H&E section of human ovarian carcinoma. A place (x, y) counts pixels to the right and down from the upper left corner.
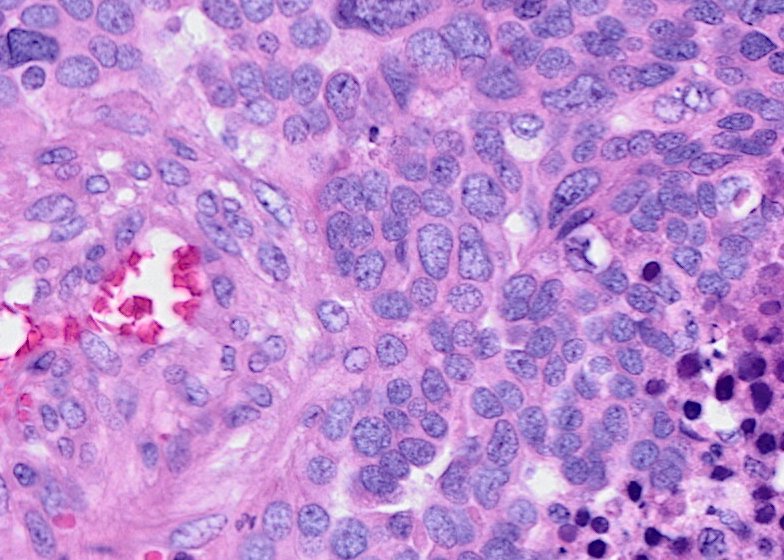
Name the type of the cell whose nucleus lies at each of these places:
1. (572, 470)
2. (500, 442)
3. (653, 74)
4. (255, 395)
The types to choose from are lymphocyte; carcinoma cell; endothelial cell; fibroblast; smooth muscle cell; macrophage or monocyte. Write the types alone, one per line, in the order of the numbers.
carcinoma cell
carcinoma cell
carcinoma cell
fibroblast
